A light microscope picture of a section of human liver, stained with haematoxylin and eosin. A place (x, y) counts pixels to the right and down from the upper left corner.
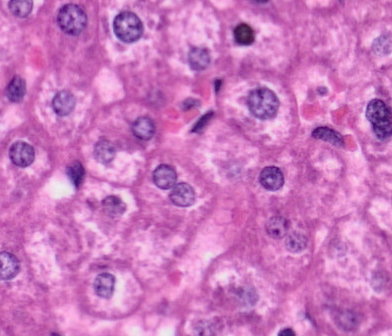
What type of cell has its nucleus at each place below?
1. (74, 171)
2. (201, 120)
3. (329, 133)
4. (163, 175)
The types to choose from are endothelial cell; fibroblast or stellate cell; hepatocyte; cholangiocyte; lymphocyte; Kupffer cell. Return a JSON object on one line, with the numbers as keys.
{"1": "endothelial cell", "2": "endothelial cell", "3": "Kupffer cell", "4": "hepatocyte"}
